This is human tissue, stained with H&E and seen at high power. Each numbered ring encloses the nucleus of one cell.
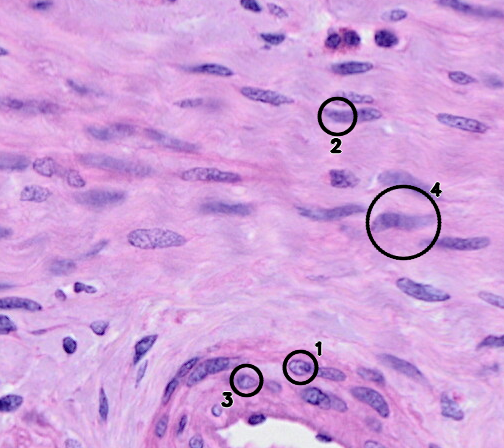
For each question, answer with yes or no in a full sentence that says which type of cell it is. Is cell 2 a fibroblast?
Yes, the cell identified by number 2 is a fibroblast.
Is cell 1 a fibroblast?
No, the marker 1 sits on a smooth muscle cell, not on a fibroblast.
